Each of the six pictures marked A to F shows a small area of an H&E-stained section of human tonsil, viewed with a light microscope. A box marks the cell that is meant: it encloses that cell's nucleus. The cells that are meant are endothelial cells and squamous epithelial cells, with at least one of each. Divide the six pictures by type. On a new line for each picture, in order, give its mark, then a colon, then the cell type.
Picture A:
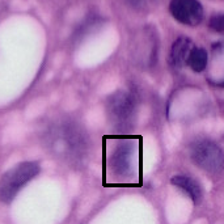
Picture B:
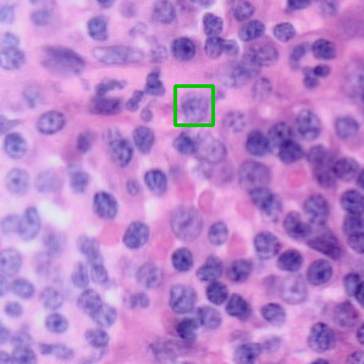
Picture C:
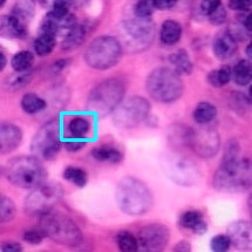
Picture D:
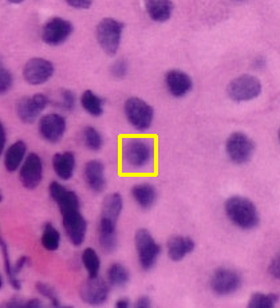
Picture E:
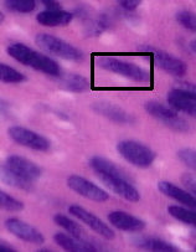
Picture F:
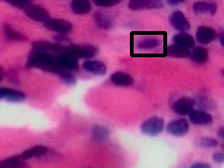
A: squamous epithelial cell
B: endothelial cell
C: endothelial cell
D: squamous epithelial cell
E: squamous epithelial cell
F: endothelial cell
